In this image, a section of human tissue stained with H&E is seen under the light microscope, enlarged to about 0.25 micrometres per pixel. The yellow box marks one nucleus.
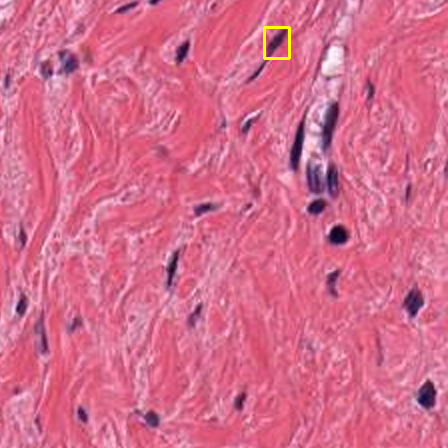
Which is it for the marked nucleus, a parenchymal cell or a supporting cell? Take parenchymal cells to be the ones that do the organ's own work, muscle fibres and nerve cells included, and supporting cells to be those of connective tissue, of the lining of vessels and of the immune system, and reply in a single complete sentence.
The marked nucleus is counted as that of a supporting cell.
